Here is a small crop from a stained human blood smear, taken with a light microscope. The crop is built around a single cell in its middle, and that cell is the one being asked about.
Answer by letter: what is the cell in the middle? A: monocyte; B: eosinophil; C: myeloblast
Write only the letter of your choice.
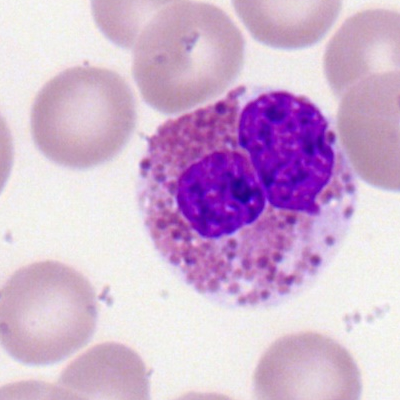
B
